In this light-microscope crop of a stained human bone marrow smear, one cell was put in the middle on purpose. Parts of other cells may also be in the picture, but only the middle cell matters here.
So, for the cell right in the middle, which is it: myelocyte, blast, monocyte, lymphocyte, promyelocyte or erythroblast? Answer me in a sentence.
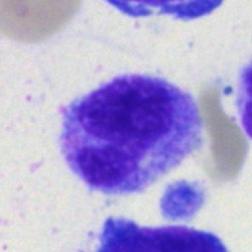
To answer, the cell in the center of the crop is a monocyte.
